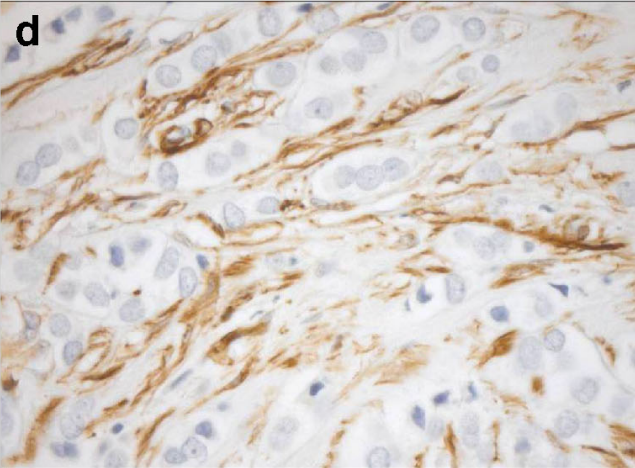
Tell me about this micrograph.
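Elongated spindle cells with dark brown cytoplasm run in roughly parallel streams across the field, diagonally from left to right. Between these streams lie tumor cells with pale, clear cytoplasm and round to oval nuclei, some with visible nucleoli, arranged in cords and single rows. The tumor cells are unstained.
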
